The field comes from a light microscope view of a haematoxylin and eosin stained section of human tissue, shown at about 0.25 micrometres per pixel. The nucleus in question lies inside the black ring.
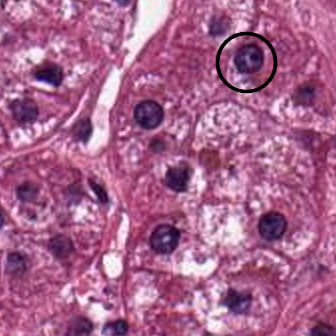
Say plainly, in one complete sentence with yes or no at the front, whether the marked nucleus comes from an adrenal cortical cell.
Yes, an adrenal cortical cell is the owner of the marked nucleus.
